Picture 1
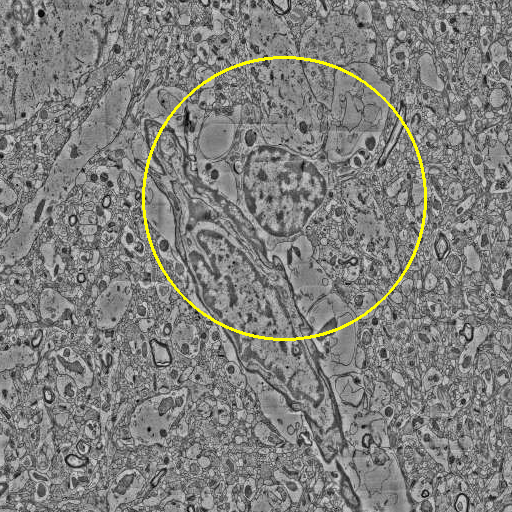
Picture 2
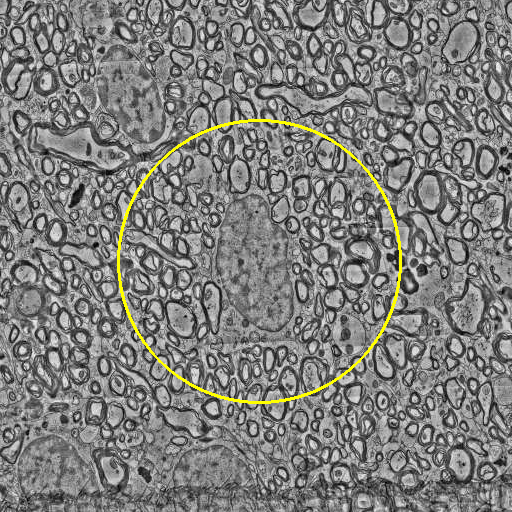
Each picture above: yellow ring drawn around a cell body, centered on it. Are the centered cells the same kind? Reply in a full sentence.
No, the two cells are two kinds of cell.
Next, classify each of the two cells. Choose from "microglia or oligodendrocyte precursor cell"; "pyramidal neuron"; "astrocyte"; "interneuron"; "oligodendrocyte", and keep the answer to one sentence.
In the first picture it is a microglial cell or oligodendrocyte precursor cell; in the second it is an oligodendrocyte.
